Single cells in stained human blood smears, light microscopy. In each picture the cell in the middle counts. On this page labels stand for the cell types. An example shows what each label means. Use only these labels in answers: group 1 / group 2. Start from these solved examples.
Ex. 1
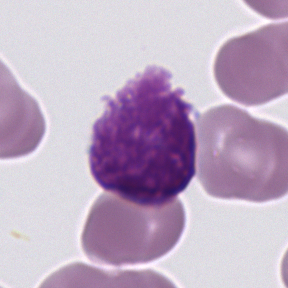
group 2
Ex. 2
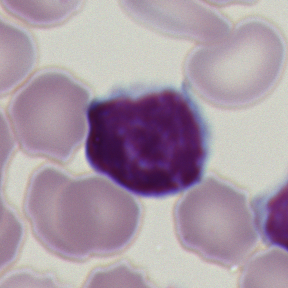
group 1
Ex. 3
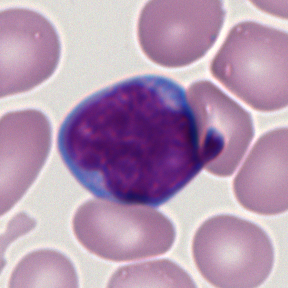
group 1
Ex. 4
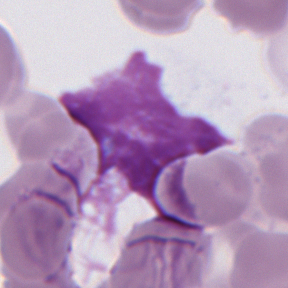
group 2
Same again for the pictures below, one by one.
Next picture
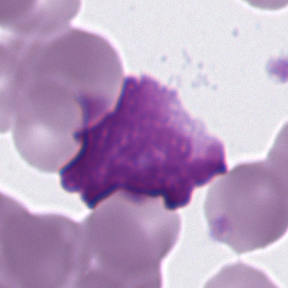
group 2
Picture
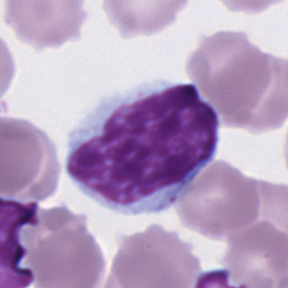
group 1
